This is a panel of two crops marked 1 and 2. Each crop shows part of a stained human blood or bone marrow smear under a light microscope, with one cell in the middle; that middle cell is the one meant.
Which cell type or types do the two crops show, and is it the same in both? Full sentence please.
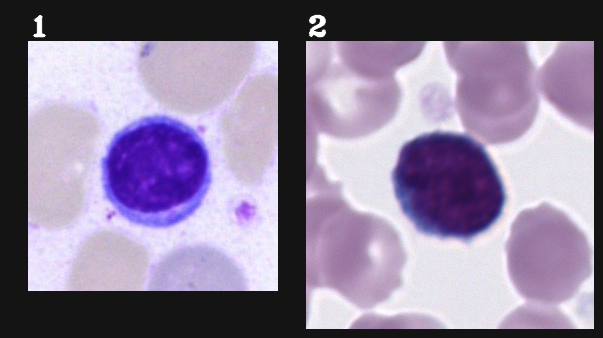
Yes, the cells at the centre of the two crops are both lymphocytes.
